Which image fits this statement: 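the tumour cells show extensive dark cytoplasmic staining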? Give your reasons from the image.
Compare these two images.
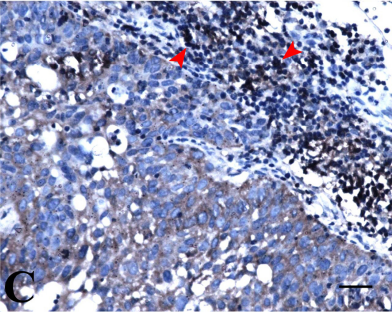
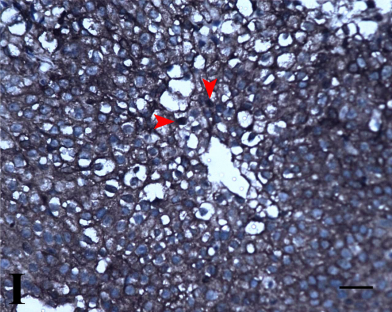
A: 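The second image. Second image: tumour cell cytoplasm across the field is dark grey-brown. First image: tumour cells are mostly pale blue with only faint cytoplasmic tint.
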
